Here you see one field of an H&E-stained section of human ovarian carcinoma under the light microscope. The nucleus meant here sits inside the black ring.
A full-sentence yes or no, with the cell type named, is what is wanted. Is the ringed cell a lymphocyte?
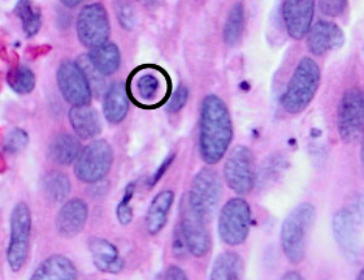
Yes, the identification of the ringed cell as a lymphocyte stands.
